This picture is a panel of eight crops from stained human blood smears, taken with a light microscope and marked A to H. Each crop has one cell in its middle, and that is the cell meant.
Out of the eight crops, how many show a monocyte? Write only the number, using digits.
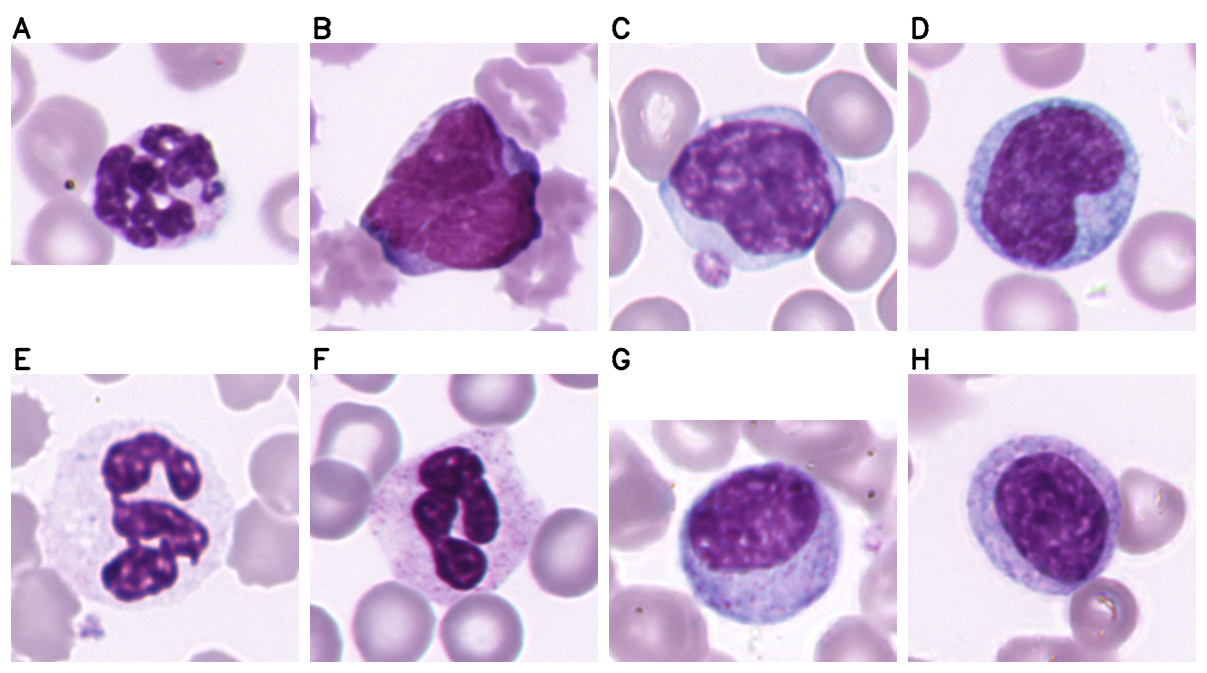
1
